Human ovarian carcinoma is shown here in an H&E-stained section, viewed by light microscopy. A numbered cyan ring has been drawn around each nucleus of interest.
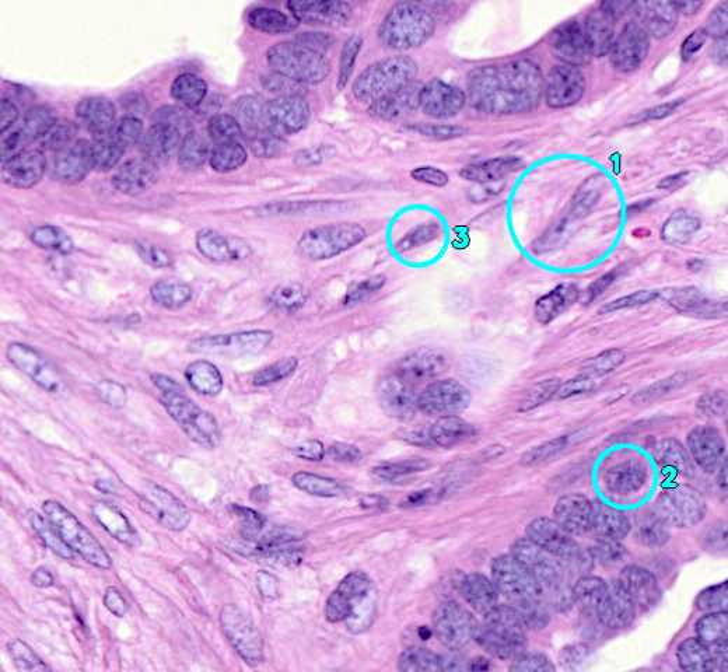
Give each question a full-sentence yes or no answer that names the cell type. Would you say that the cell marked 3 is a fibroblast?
Yes, the cell referred to as number 3 is a fibroblast.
